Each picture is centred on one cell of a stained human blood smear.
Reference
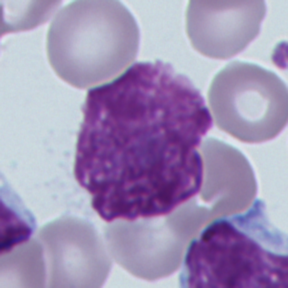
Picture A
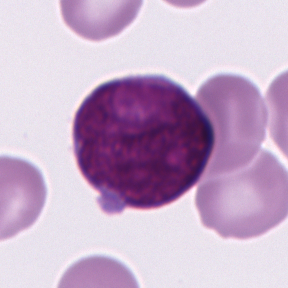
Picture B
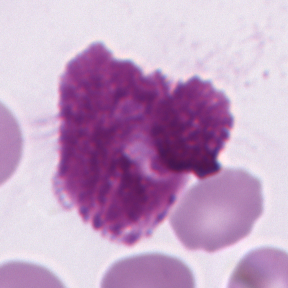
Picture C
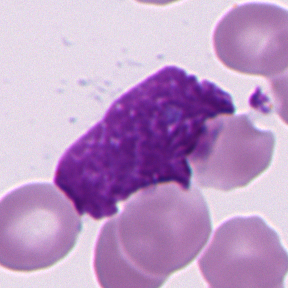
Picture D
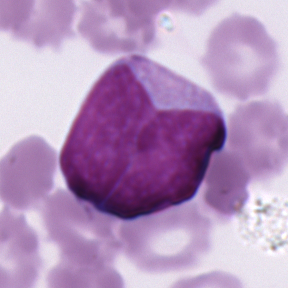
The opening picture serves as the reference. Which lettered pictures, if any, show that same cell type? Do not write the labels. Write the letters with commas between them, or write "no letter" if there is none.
B, C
